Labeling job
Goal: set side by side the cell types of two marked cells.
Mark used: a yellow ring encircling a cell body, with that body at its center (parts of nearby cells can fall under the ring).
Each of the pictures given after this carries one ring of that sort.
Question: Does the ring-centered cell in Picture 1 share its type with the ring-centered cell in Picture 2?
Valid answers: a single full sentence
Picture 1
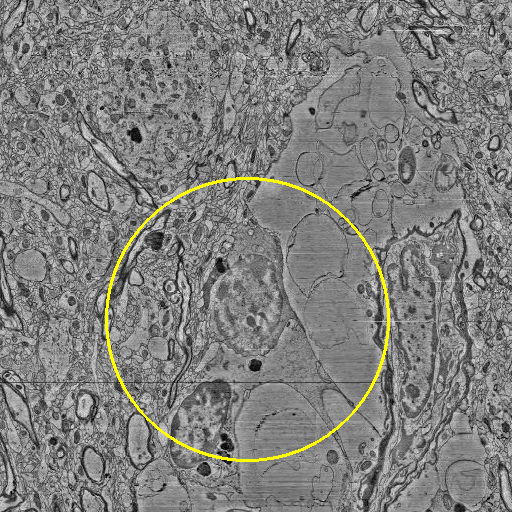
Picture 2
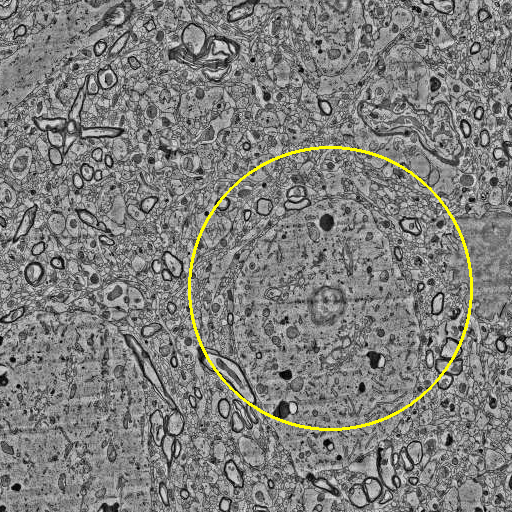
No, in Pictures 1 and 2 the cells at the ring centers have separate types.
